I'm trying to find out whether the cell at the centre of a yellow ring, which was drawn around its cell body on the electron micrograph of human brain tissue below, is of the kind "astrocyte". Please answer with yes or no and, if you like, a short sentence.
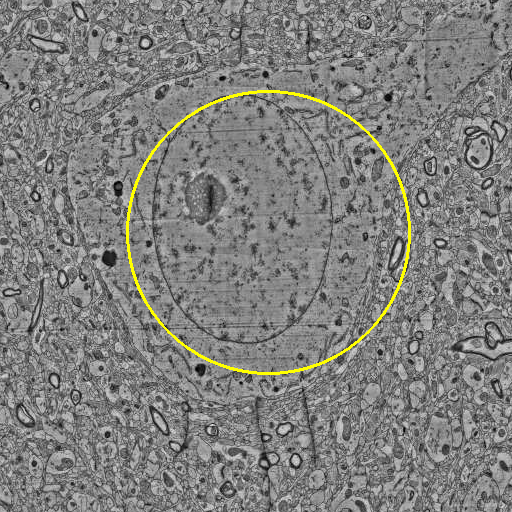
No, that cell is of another kind.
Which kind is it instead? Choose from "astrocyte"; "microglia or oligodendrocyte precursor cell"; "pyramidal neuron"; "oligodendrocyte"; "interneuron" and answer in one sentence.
Instead, the cell at the centre of the ring is a pyramidal neuron.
